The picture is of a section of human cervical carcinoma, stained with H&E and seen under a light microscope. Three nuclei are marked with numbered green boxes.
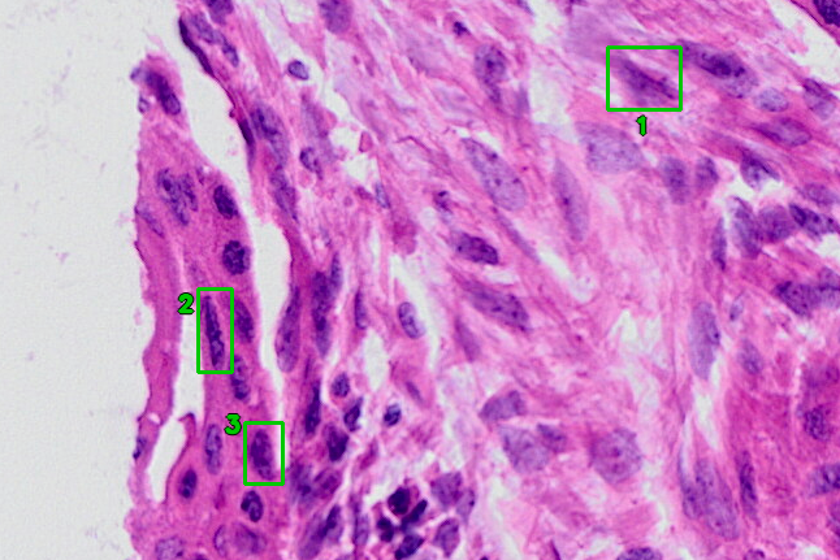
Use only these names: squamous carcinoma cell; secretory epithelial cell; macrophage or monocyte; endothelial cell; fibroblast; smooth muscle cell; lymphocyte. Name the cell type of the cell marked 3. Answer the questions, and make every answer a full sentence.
The cell tagged with 3 in this tissue section is a squamous carcinoma cell.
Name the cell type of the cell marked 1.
The cell pointed out as number 1 is a fibroblast.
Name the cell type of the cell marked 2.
Heads up, the cell numbered 2 is a squamous carcinoma cell.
